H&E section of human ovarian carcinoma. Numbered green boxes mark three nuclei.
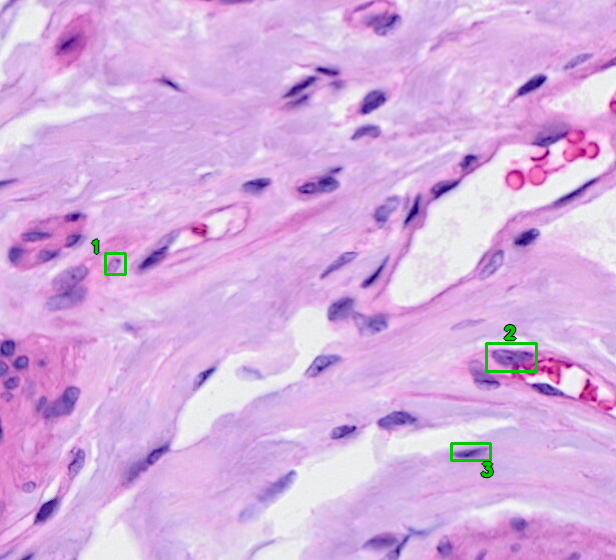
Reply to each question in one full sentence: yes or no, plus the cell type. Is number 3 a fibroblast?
Yes, the marked cell numbered 3 is a fibroblast.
